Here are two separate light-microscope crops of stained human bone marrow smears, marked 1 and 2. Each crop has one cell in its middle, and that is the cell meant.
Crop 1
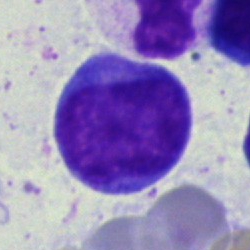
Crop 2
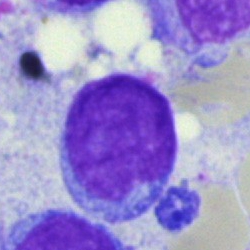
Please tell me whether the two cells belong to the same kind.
yes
